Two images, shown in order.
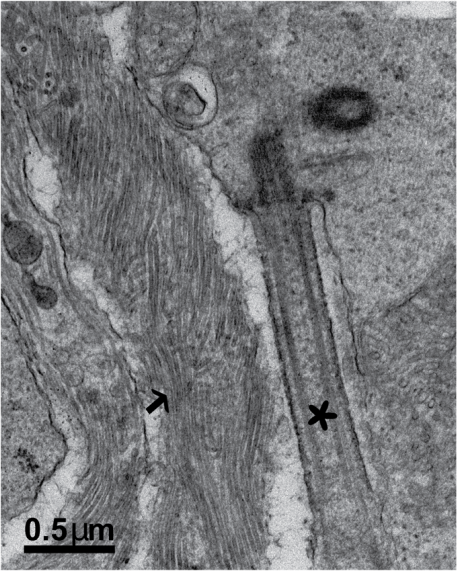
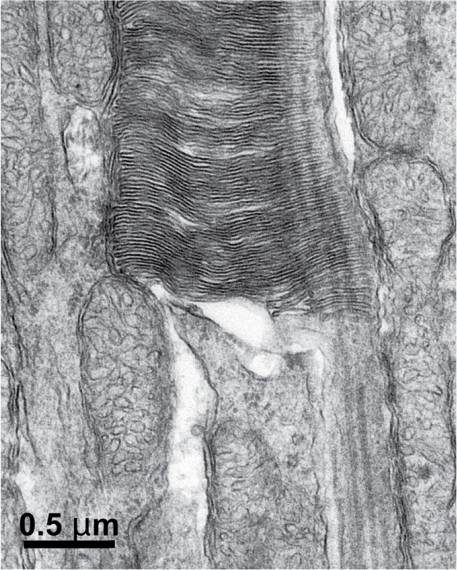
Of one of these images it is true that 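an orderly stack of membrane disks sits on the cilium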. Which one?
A: The second image.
